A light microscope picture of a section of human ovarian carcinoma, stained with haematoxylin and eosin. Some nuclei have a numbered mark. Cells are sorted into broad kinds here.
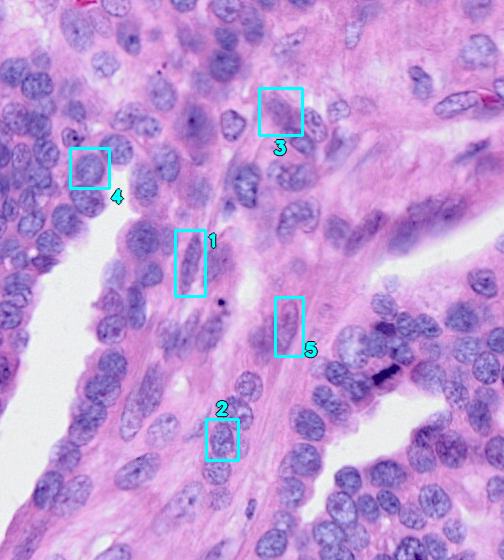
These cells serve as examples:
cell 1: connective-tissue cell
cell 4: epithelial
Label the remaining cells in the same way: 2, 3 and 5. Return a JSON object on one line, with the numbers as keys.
{"2": "epithelial", "3": "connective-tissue cell", "5": "connective-tissue cell"}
